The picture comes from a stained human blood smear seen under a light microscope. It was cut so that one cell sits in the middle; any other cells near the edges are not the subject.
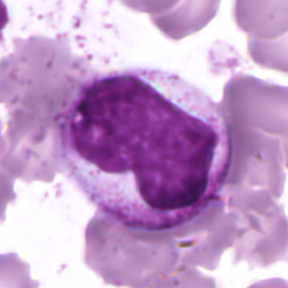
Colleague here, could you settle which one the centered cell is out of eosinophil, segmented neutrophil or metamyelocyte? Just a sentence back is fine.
The central cell, amid any neighbouring cells, is a metamyelocyte.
